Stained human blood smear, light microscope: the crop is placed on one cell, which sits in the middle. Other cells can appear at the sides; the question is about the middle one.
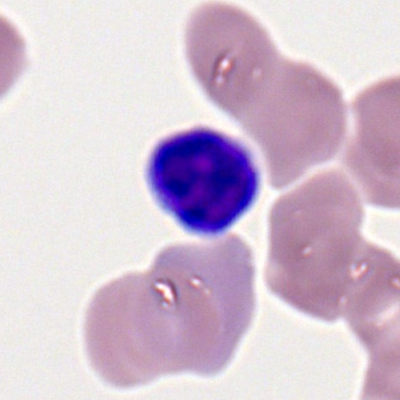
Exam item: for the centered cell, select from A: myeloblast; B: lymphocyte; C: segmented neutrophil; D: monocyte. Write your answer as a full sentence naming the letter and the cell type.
The cell in the centre of the crop is a lymphocyte, so option B is the correct one.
